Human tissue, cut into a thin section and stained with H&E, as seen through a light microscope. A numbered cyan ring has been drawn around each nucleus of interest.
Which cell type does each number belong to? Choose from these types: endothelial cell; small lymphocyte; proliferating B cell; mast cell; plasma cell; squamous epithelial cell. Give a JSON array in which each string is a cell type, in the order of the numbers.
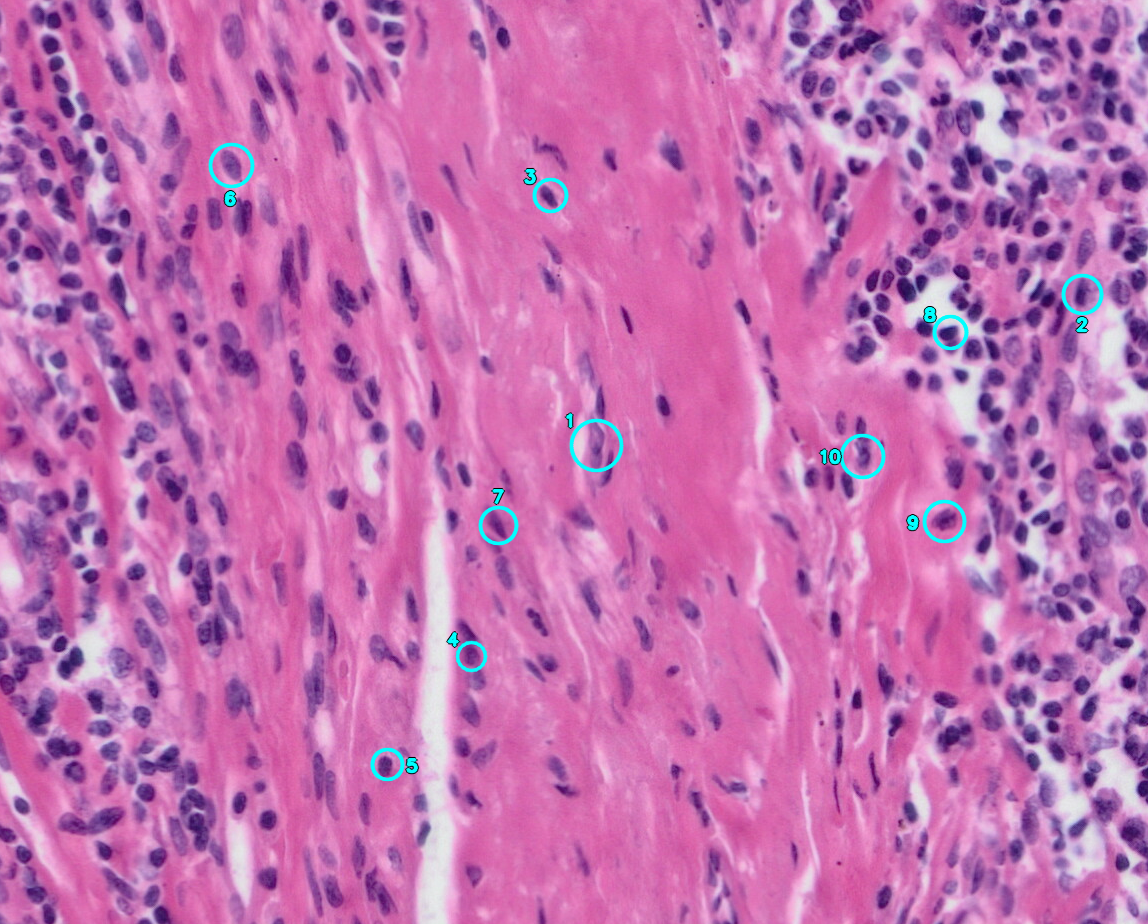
["endothelial cell", "endothelial cell", "mast cell", "endothelial cell", "mast cell", "mast cell", "endothelial cell", "small lymphocyte", "mast cell", "mast cell"]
